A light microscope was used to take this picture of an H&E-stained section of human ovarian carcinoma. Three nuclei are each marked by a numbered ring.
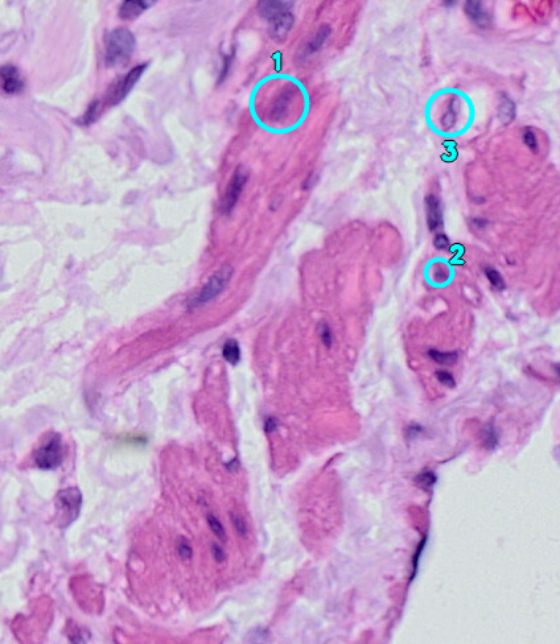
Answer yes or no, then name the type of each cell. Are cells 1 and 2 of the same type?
Yes, going by number, cells 1 and 2 are both smooth muscle cells.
